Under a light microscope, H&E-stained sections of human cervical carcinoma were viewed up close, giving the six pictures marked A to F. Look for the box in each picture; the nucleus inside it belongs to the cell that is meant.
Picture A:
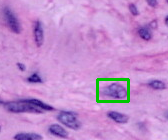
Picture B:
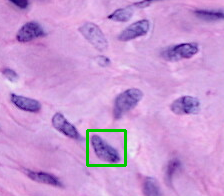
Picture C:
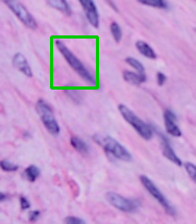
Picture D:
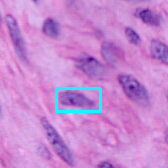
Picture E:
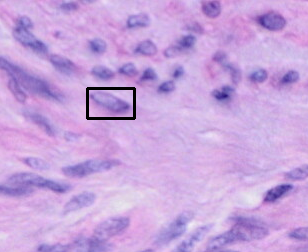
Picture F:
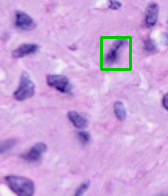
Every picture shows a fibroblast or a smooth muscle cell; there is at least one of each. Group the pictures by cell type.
A: smooth muscle cell
B: fibroblast
C: smooth muscle cell
D: smooth muscle cell
E: smooth muscle cell
F: fibroblast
